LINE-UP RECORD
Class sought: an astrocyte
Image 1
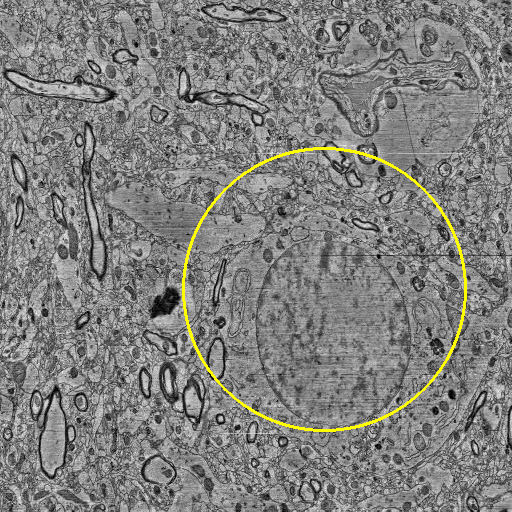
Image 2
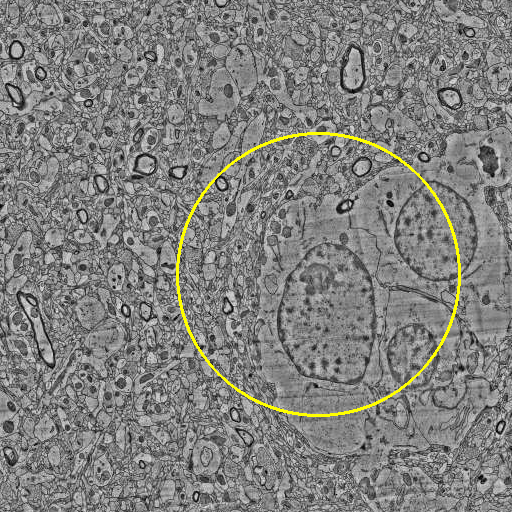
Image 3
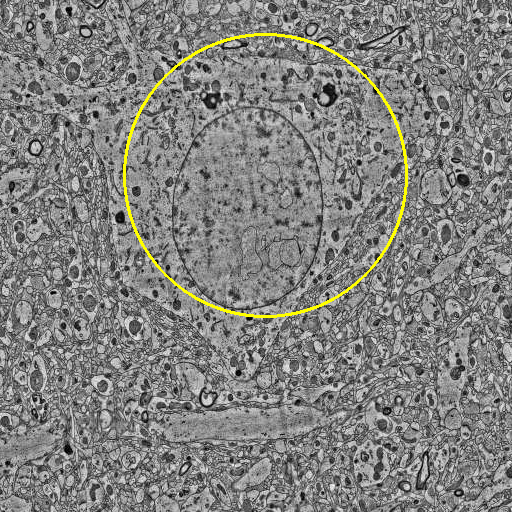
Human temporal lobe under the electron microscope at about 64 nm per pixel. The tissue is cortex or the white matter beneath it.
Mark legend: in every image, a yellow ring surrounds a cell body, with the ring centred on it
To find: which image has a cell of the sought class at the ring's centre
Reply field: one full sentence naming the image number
The ring-centred cell of image 2 belongs to the class sought.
